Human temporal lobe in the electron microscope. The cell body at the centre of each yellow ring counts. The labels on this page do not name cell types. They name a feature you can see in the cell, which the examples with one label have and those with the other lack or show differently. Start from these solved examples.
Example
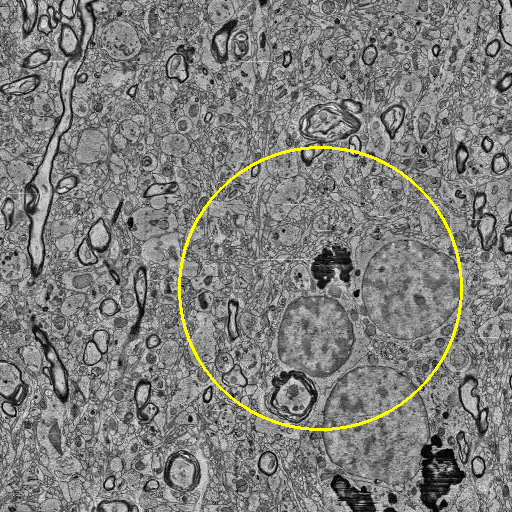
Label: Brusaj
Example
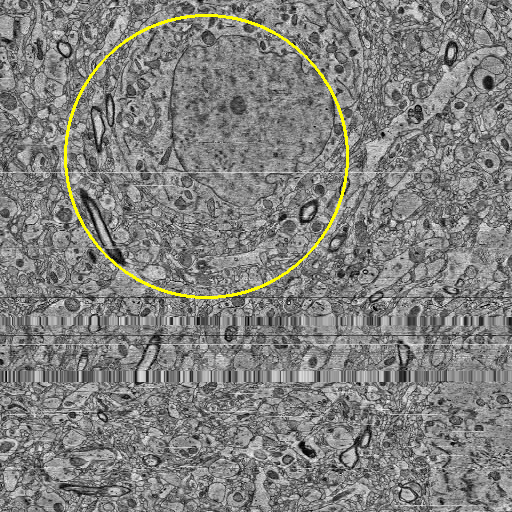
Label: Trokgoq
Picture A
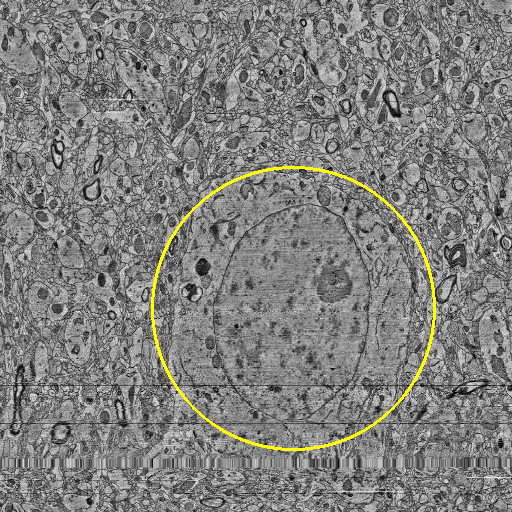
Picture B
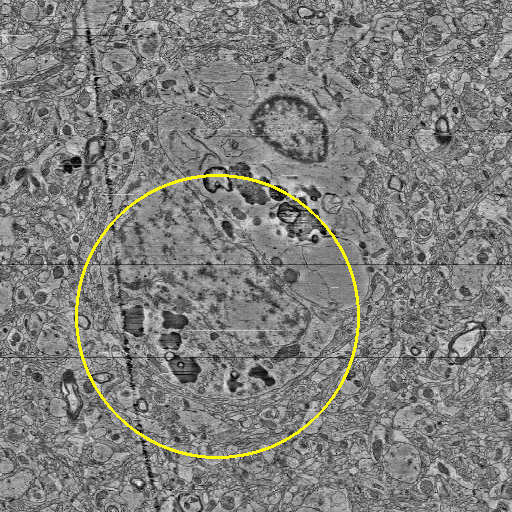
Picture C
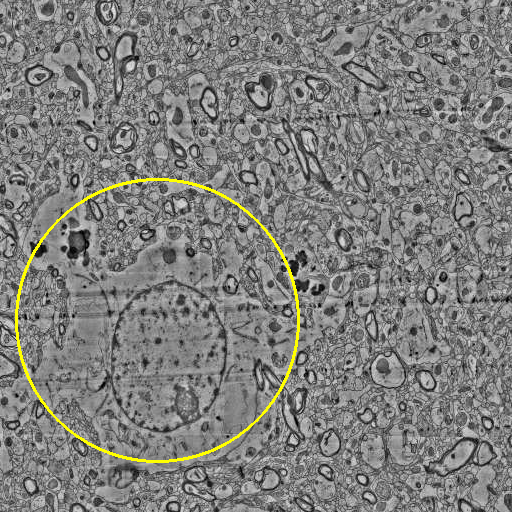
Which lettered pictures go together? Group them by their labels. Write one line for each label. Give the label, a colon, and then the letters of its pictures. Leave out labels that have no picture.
Brusaj: B
Trokgoq: A, C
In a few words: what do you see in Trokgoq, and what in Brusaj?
Trokgoq: nucleolus seen; Brusaj: no nucleolus seen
